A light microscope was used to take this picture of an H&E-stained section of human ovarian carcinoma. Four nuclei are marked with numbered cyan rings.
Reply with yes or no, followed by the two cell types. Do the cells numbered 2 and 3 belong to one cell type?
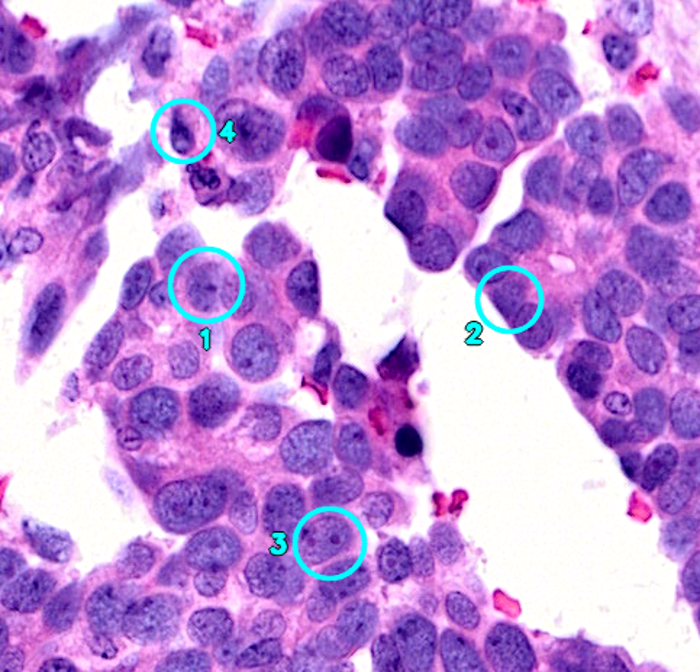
Yes, regarding cells 2 and 3, both are carcinoma cells.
